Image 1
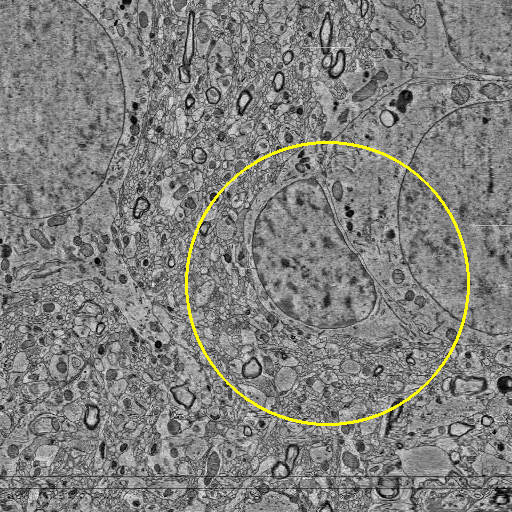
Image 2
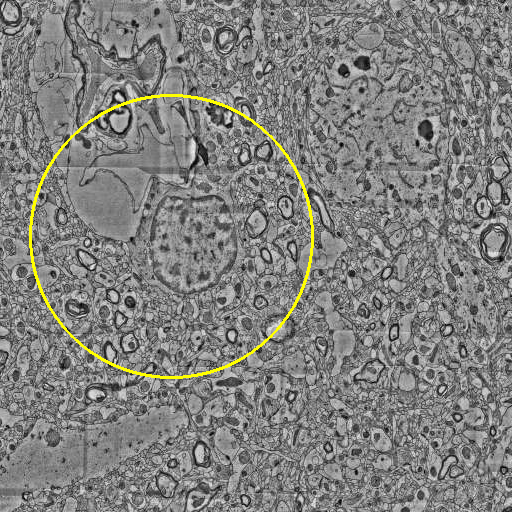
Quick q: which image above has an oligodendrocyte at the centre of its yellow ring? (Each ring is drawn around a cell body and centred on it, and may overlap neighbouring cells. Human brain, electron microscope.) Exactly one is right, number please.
2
